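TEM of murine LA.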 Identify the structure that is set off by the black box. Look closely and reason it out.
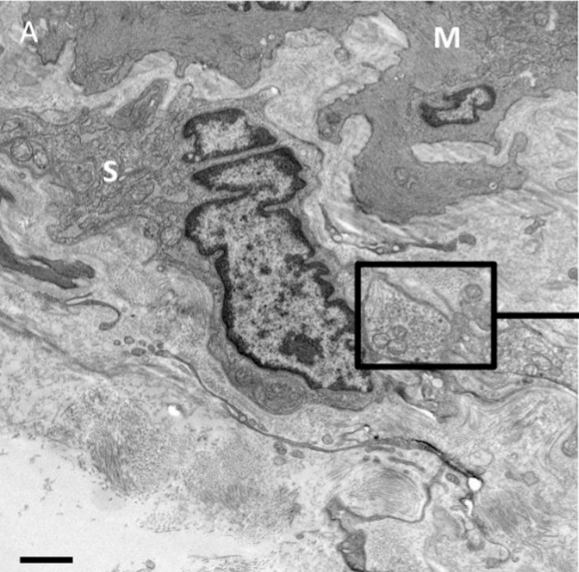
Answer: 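The boxed profile is filled with many small round vesicles. It contains a few mitochondria. It lies beside the cell with the indented nucleus.
Nerve terminal.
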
